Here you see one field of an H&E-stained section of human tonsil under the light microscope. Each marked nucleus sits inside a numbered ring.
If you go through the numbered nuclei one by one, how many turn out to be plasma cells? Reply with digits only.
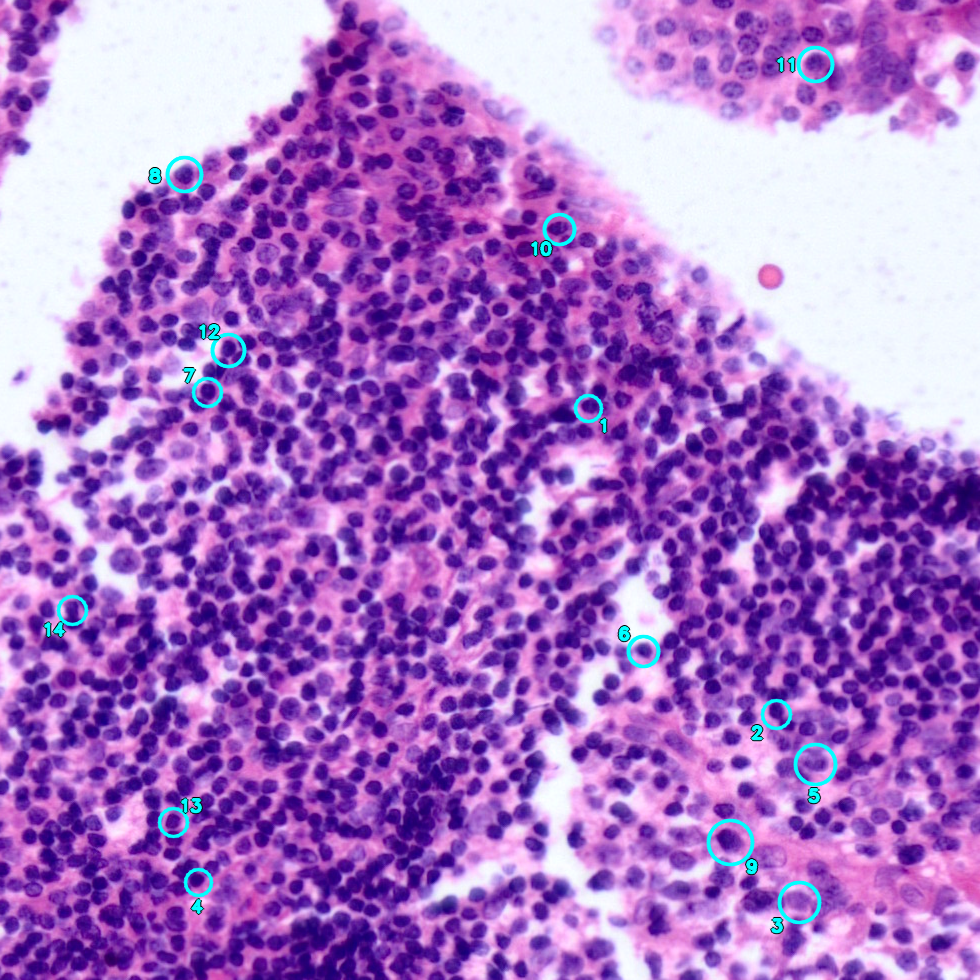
3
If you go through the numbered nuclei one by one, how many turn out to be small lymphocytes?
8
